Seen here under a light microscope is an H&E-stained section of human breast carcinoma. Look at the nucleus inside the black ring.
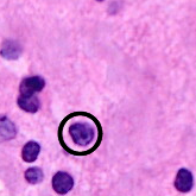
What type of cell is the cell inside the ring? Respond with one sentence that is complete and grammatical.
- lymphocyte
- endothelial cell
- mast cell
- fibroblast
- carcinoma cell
The classification of the cell inside the ring is as a lymphocyte.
